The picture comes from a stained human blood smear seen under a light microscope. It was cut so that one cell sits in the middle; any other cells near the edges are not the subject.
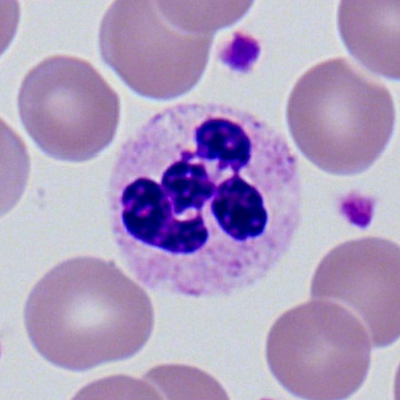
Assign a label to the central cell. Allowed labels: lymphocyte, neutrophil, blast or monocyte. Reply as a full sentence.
The crop shows a neutrophil in its centre.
